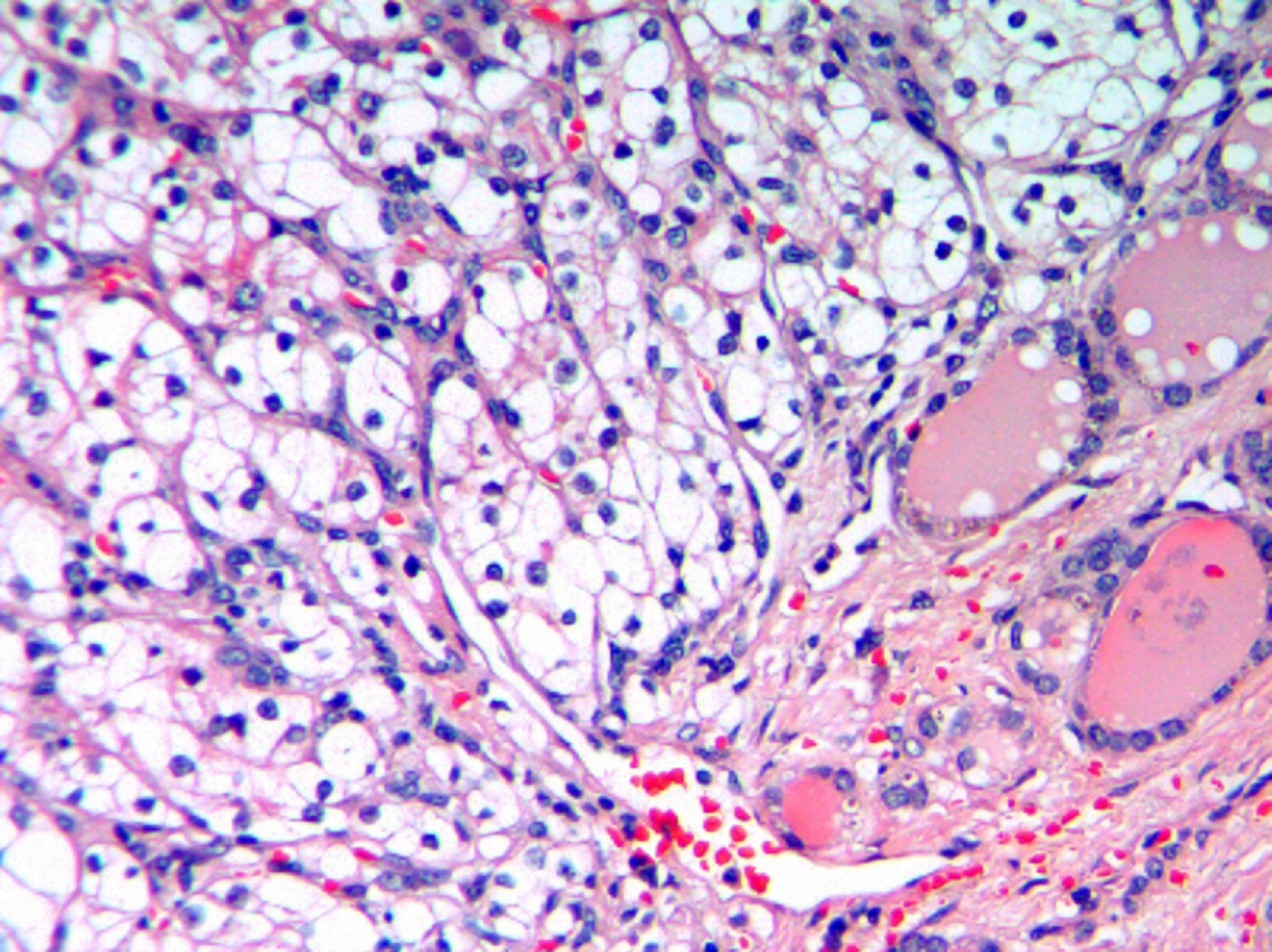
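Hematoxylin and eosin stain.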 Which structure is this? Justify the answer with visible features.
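Thyroid follicles with central colloid. At the right lower side are round spaces filled with homogeneous pink material. Each space is lined by a single layer of small cuboidal cells. The pink material contains small clear bubble-like vacuoles at its edge.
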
